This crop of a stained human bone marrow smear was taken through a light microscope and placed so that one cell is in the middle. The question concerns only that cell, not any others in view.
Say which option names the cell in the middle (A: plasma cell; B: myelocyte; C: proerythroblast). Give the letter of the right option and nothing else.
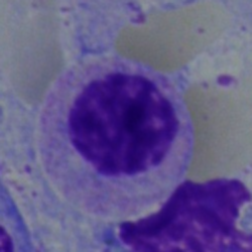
B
